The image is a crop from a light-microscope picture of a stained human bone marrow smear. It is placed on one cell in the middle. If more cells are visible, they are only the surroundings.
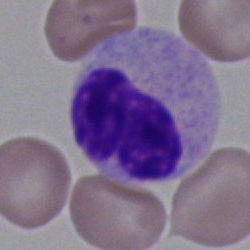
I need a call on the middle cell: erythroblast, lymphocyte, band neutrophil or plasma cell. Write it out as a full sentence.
The centrally located cell in the crop is a band neutrophil.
